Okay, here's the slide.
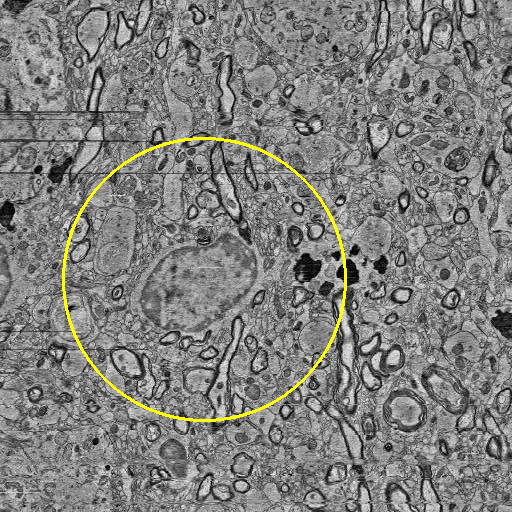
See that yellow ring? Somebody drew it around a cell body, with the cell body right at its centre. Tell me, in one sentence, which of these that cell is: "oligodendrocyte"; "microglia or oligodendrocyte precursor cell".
The cell in the middle of the ring is an oligodendrocyte.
